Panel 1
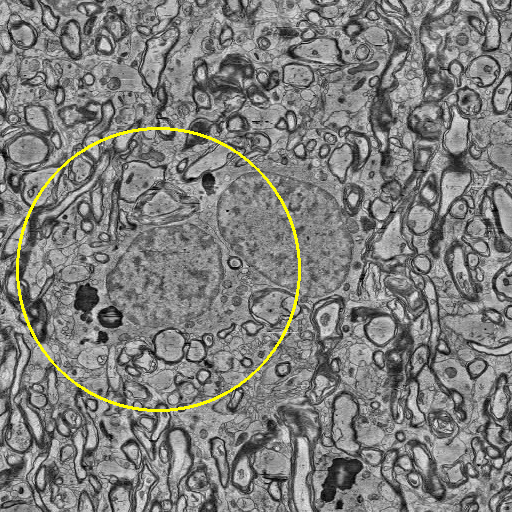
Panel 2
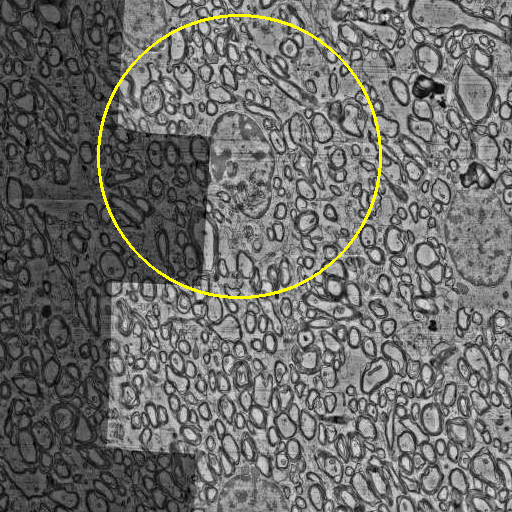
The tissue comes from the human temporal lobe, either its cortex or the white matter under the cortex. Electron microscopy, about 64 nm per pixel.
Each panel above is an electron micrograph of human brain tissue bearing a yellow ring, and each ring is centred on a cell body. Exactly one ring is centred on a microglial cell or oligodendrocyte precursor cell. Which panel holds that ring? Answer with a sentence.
That ring is in Panel 2.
